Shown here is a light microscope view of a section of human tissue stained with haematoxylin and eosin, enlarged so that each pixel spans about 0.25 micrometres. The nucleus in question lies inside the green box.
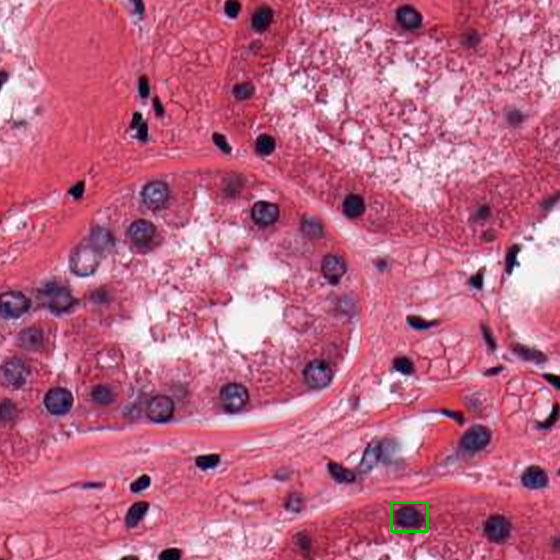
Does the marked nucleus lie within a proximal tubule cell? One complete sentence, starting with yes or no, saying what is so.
Yes, it is the nucleus of a proximal tubule cell that has been marked.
